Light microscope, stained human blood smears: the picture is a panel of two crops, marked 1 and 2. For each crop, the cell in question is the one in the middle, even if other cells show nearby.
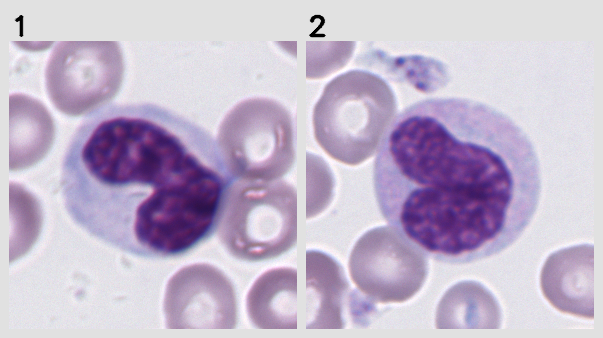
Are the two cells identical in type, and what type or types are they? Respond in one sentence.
Yes, as an answer for this item, both crops show band neutrophils.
